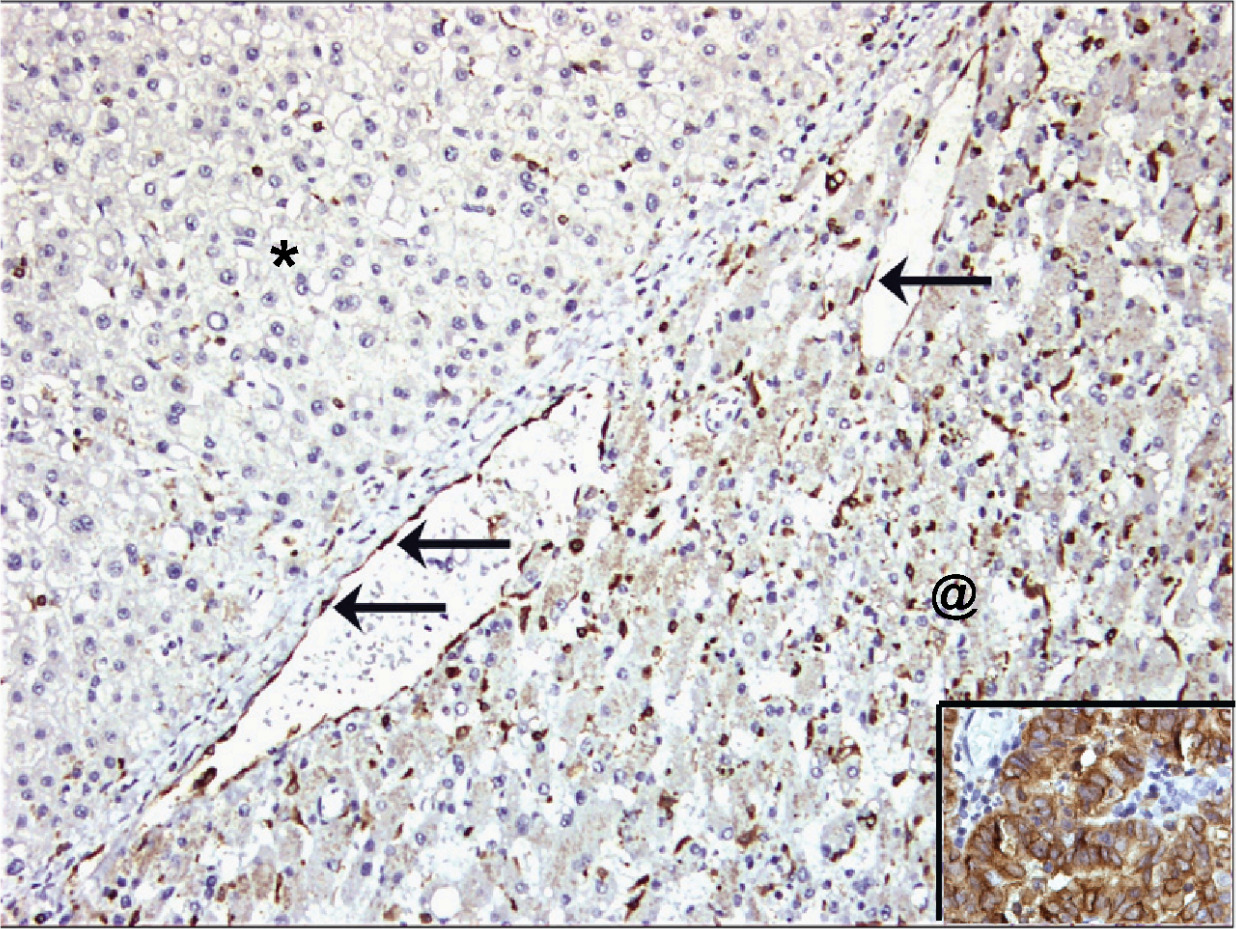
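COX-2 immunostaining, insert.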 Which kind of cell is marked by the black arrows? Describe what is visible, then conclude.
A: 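Endothelial cells. The arrows point to thin, flat, brown-lined cells along the wall of elongated vascular spaces. The vessels lie in a fibrous band between two regions of liver-like tissue.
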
